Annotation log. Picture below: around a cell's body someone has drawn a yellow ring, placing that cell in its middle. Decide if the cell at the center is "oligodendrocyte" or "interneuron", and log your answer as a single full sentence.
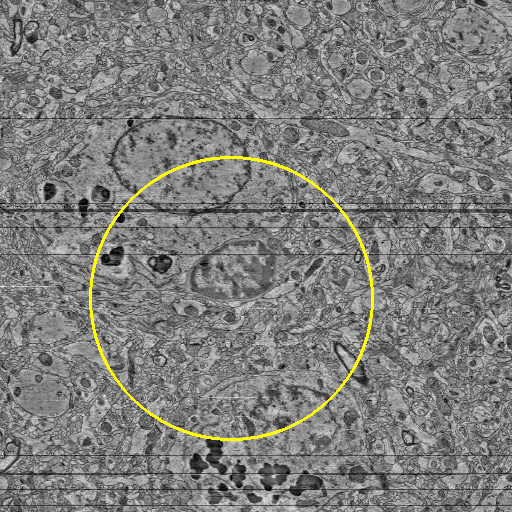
My entry records an oligodendrocyte as the cell sitting at the center of the yellow ring.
